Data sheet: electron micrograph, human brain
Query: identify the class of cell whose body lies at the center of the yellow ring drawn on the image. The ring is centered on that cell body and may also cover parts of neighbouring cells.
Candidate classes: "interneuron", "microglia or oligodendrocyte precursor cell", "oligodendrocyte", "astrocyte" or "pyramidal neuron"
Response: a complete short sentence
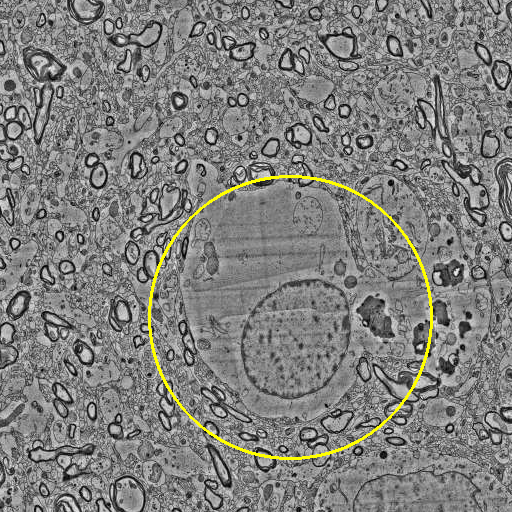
At the center of the ring lies an astrocyte.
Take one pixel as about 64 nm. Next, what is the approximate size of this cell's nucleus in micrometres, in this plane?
About 8 by 7 micrometres in this plane.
